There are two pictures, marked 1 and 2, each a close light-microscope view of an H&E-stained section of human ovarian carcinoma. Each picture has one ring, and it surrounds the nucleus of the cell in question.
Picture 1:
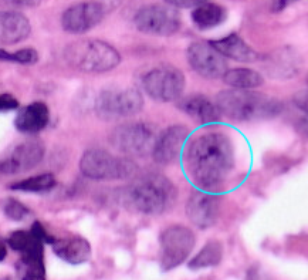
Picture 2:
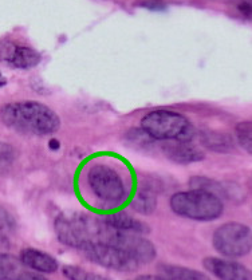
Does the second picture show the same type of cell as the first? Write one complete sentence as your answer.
Yes, the two pictures both show carcinoma cells.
